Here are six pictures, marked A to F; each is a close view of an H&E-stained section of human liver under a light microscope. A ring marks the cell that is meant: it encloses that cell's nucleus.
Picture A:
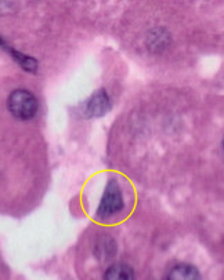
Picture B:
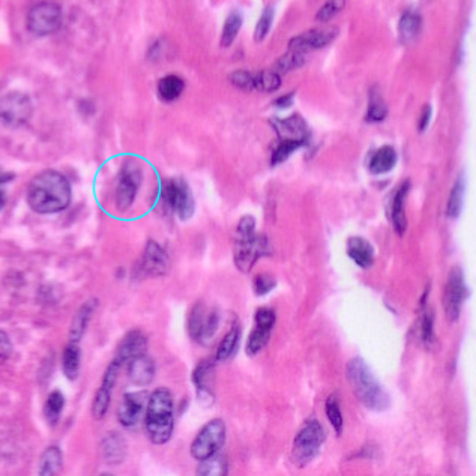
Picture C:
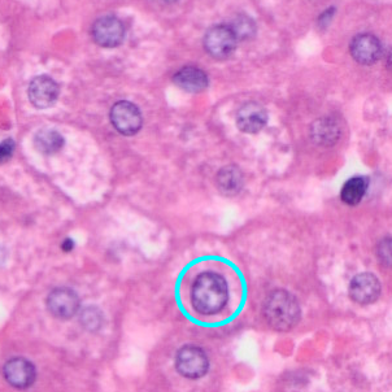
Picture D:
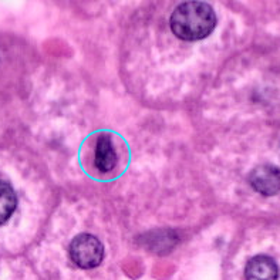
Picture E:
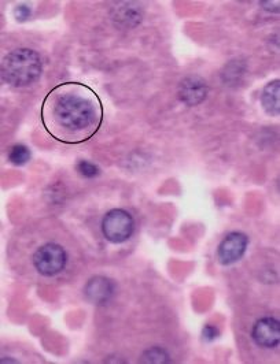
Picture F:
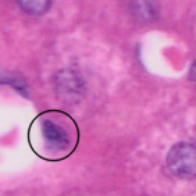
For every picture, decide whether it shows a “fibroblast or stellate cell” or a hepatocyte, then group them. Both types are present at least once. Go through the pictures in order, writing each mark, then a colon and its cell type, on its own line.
A: fibroblast or stellate cell
B: fibroblast or stellate cell
C: hepatocyte
D: fibroblast or stellate cell
E: hepatocyte
F: fibroblast or stellate cell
